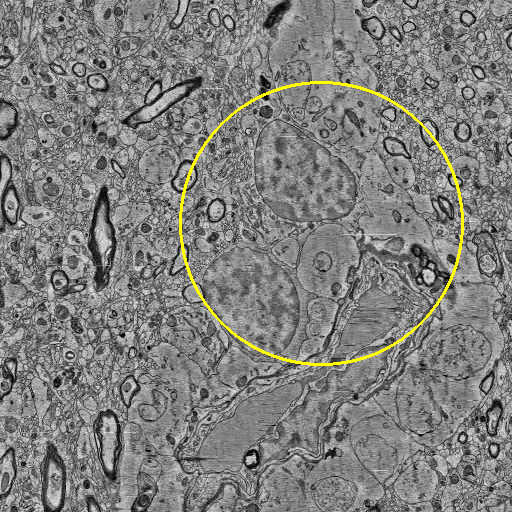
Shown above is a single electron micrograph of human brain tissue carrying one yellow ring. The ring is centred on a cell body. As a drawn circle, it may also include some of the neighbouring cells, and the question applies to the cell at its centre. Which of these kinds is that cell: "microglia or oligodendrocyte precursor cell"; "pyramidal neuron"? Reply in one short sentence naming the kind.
The cell marked by the ring is a microglial cell or oligodendrocyte precursor cell.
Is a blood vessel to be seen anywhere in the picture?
Yes, the image shows a blood vessel.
